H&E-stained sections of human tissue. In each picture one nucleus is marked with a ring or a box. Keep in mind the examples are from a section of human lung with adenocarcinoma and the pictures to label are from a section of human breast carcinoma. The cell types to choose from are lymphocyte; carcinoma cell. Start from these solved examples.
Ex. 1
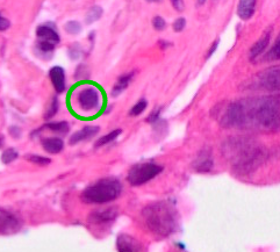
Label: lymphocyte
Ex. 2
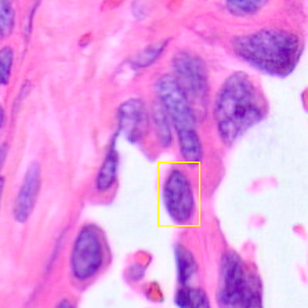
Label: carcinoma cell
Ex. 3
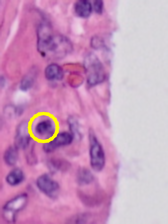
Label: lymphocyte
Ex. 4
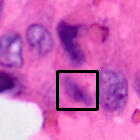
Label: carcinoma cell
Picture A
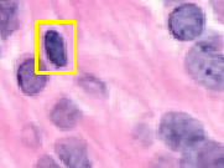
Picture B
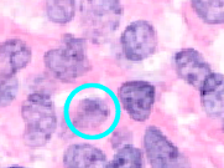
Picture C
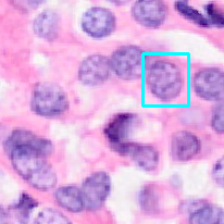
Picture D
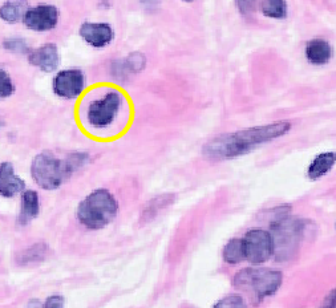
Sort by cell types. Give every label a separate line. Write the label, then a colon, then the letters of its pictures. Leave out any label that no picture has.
lymphocyte: A, D
carcinoma cell: B, C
